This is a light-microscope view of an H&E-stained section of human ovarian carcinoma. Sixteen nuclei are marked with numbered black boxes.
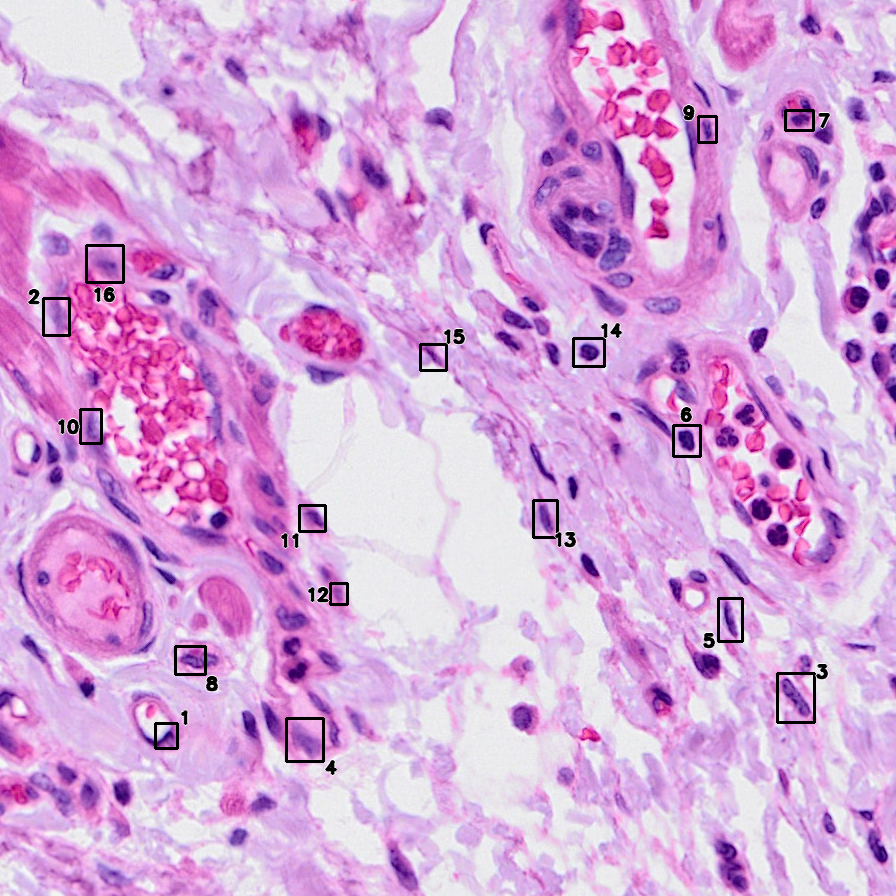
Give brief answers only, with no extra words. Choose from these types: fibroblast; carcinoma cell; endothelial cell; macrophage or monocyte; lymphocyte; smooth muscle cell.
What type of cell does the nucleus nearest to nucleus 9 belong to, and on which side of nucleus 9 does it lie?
an endothelial cell; below and to the left of nucleus 9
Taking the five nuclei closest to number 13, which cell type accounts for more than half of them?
macrophage or monocyte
